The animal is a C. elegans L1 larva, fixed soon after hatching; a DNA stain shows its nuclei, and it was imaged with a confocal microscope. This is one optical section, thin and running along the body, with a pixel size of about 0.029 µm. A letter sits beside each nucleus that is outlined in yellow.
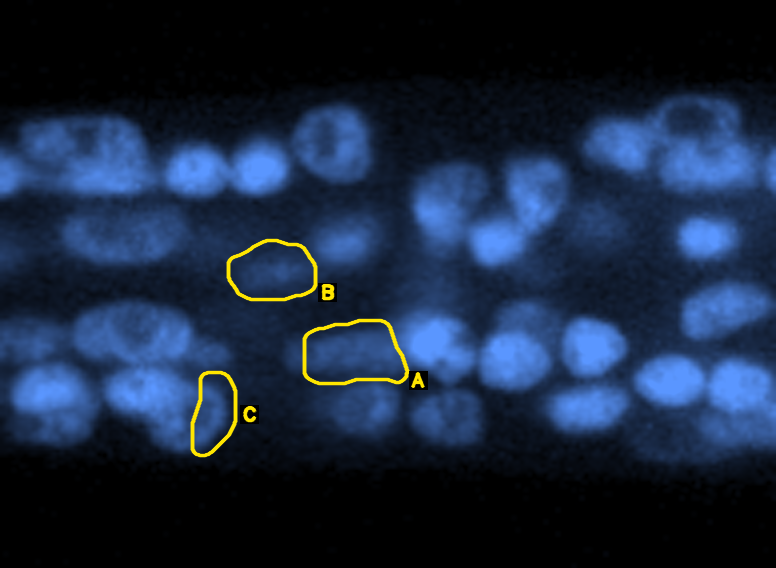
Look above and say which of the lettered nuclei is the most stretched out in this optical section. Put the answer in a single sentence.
C is the most elongated in this section.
